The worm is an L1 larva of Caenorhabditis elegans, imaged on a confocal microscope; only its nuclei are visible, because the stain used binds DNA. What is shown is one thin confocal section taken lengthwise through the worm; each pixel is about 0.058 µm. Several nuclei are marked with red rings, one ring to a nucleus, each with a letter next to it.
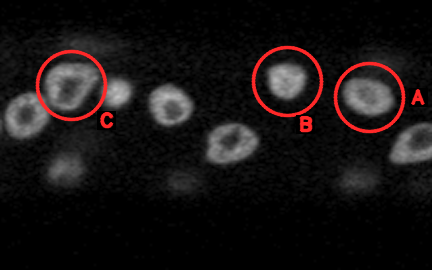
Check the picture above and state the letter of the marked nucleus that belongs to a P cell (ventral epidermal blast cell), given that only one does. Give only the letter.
B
